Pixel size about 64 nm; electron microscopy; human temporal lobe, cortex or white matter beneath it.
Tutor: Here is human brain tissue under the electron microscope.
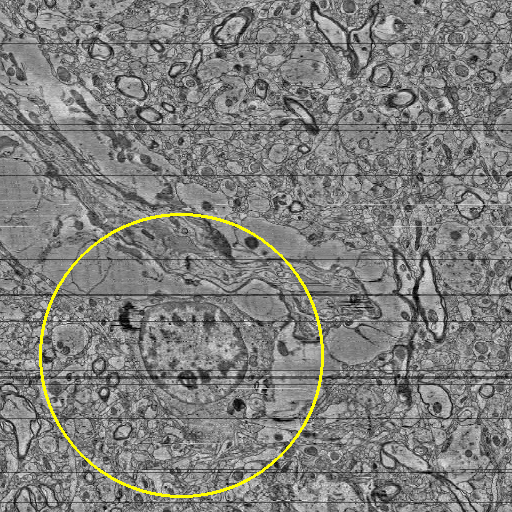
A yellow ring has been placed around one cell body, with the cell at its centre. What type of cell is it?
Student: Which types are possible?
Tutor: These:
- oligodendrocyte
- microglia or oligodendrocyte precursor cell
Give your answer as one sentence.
What the ring picks out here is an oligodendrocyte.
